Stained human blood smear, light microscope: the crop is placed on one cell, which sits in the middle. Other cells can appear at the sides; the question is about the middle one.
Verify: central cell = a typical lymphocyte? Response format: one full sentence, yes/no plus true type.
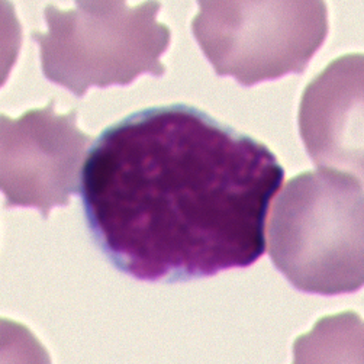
Yes, the cell found in the middle is a typical lymphocyte.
